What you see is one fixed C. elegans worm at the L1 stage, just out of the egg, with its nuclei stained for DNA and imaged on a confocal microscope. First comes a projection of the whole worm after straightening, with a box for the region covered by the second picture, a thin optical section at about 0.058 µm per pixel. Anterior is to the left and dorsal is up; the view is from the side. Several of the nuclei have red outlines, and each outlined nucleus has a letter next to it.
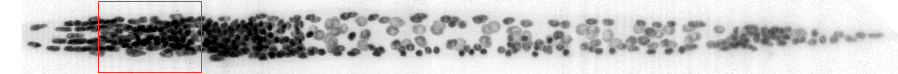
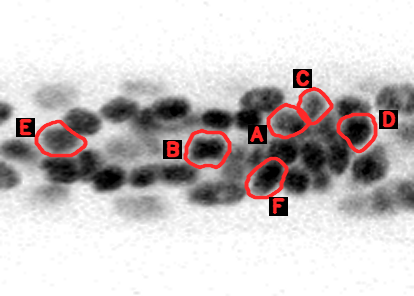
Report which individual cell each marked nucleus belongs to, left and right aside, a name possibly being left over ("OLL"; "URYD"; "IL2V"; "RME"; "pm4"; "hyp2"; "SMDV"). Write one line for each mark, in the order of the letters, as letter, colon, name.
A: OLL
B: pm4
C: URYD
D: RME
E: hyp2
F: IL2V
